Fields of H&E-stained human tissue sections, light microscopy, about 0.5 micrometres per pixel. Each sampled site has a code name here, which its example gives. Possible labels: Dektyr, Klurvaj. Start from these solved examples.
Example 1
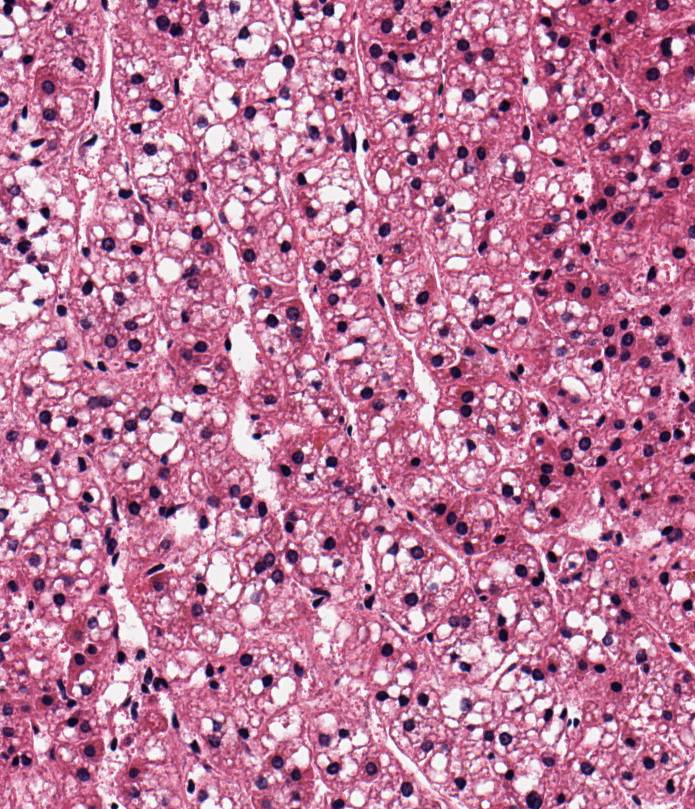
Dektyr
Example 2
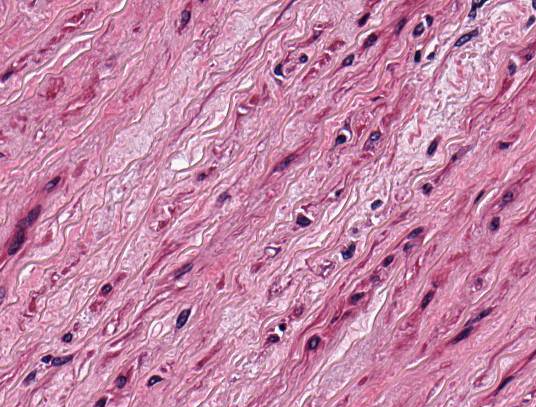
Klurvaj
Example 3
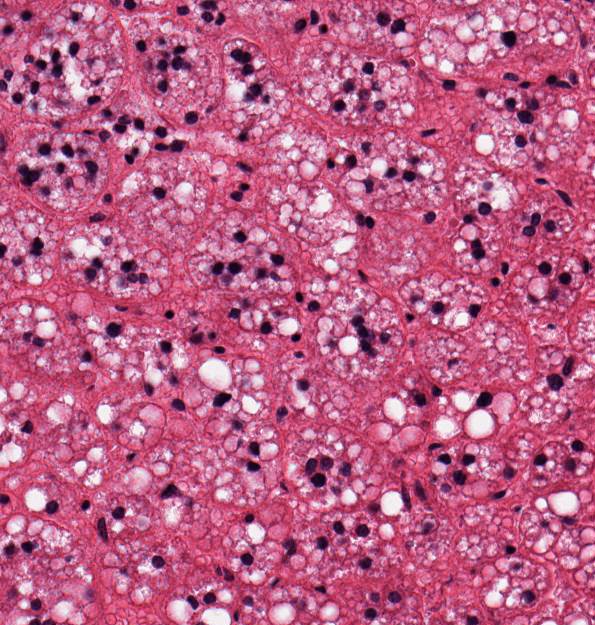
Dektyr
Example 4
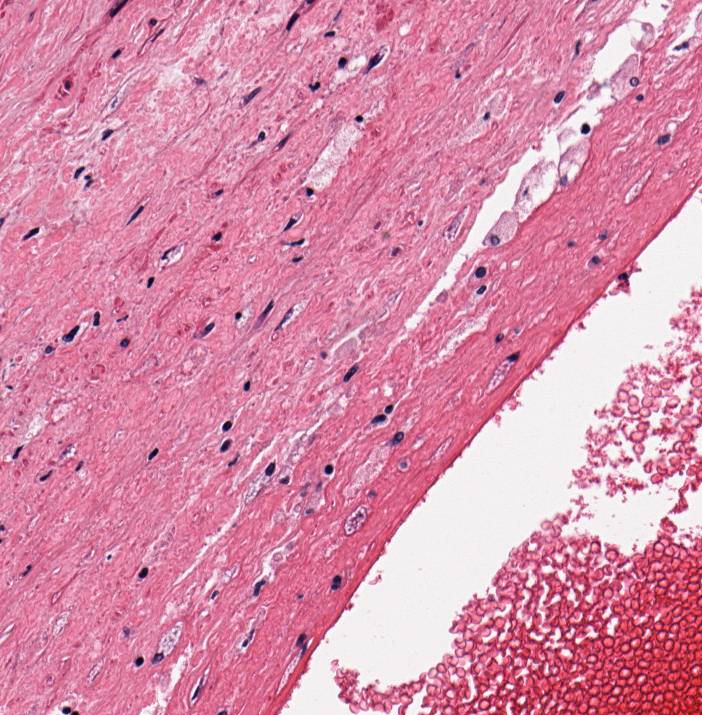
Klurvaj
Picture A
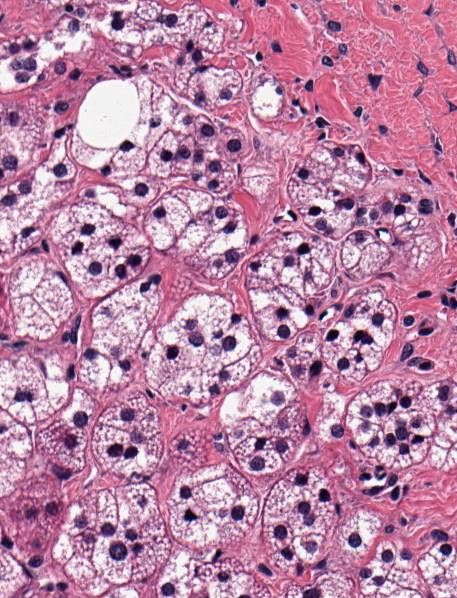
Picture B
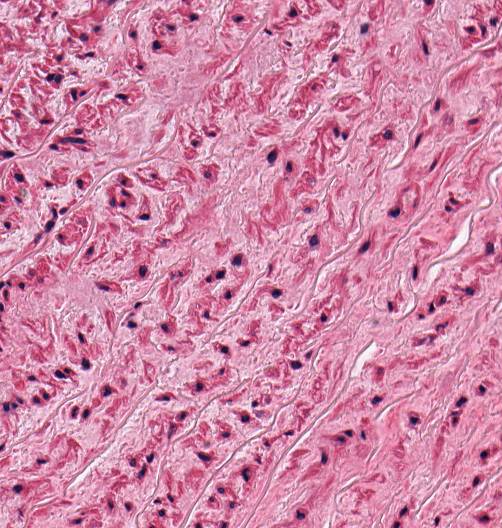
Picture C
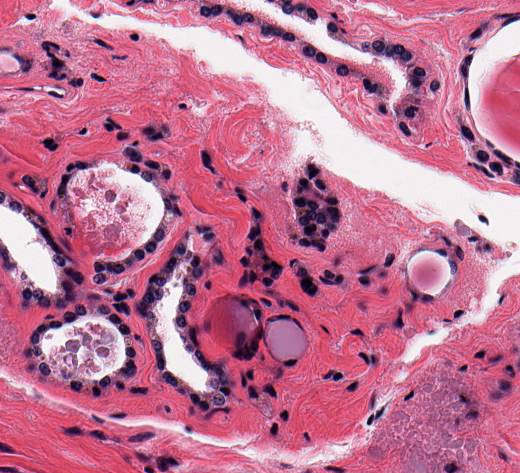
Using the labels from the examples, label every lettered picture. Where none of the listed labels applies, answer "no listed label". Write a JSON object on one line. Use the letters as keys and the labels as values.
{"A": "Dektyr", "B": "Klurvaj", "C": "no listed label"}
